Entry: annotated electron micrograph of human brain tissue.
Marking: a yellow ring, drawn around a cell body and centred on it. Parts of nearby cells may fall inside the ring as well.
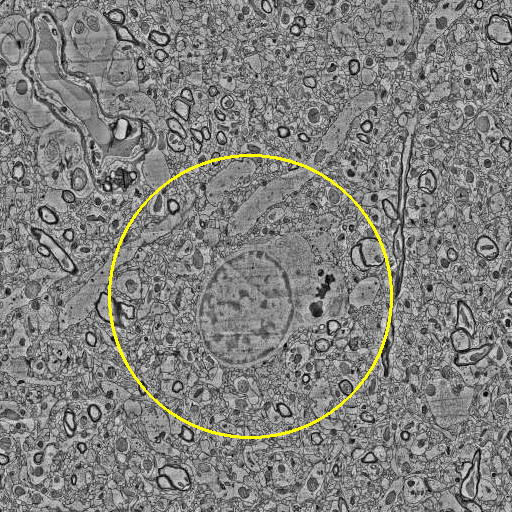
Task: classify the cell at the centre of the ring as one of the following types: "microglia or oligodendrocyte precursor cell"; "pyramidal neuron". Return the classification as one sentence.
The marked cell is classified as a microglial cell or oligodendrocyte precursor cell.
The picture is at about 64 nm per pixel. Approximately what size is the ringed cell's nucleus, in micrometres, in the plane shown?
About 7 by 6 micrometres in this plane.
